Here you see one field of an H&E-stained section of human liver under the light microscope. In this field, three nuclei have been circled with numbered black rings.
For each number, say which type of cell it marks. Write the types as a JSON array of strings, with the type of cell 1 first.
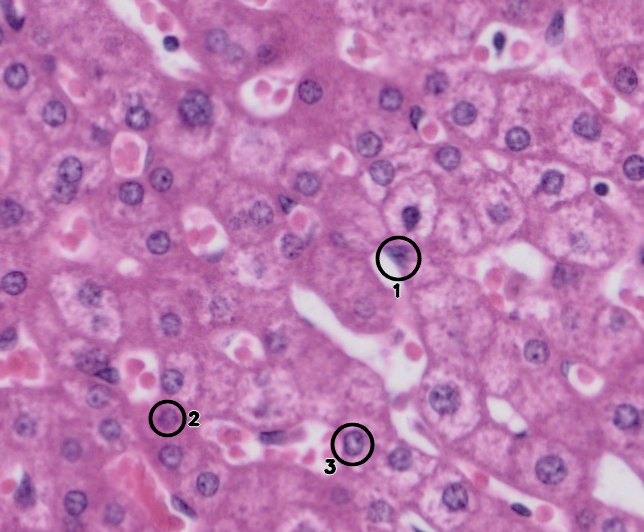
["endothelial cell", "hepatocyte", "hepatocyte"]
